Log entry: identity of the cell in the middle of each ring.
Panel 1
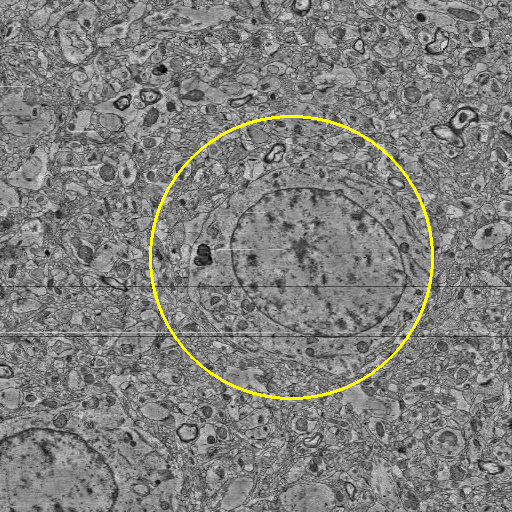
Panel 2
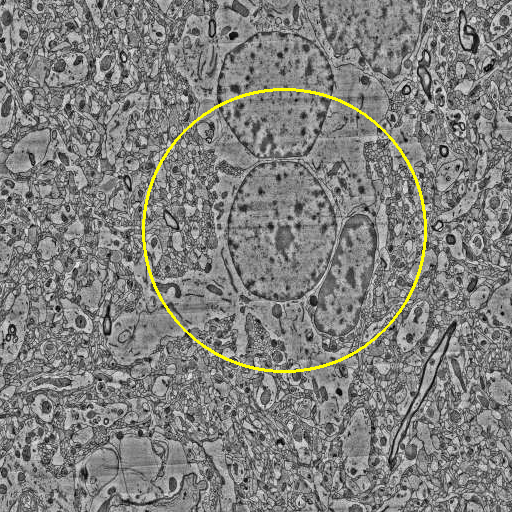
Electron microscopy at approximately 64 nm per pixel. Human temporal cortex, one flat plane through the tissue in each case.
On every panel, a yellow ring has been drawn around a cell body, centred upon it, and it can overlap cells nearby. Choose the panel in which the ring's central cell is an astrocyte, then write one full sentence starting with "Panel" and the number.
Panel 2 shows the requested cell sitting in the middle of its ring.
